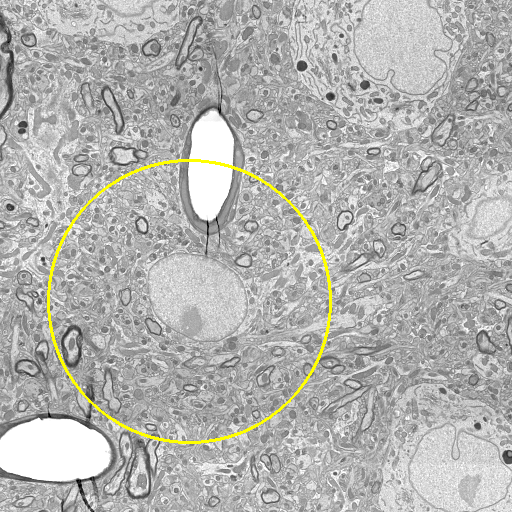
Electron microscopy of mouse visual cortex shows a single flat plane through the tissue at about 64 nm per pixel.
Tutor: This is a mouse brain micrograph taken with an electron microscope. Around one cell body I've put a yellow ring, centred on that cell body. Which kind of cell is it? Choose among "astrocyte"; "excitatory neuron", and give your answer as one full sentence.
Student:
Going by your list, the cell centred in the yellow ring is an astrocyte.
